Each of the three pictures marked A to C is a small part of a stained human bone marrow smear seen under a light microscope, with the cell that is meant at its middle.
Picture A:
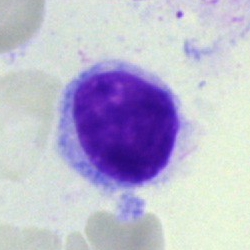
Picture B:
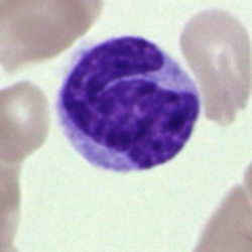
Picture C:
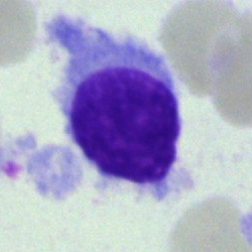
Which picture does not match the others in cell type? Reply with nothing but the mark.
B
